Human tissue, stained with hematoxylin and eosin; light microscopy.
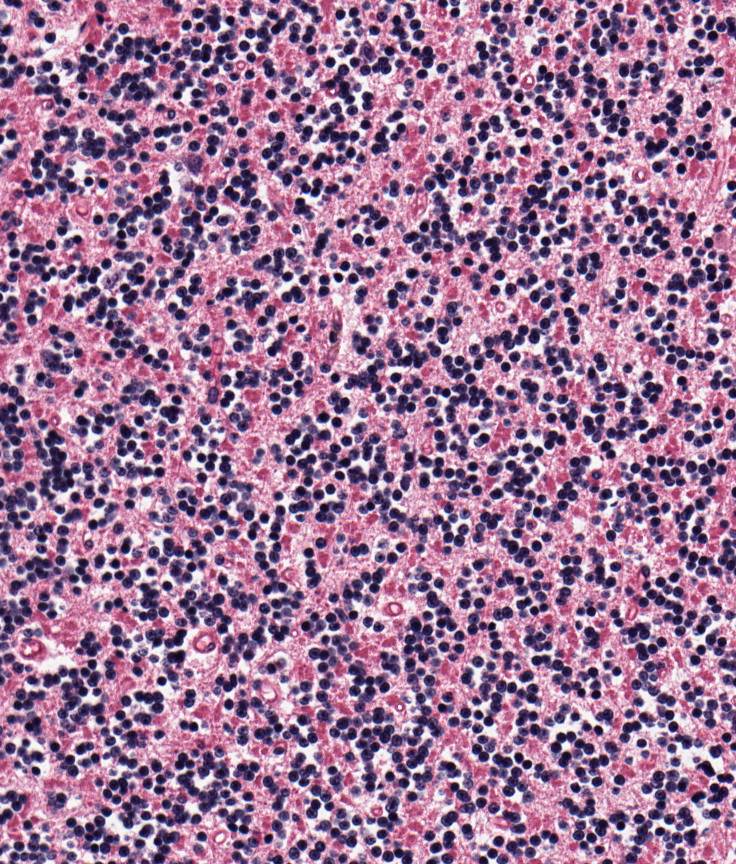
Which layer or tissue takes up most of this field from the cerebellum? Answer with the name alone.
granular layer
